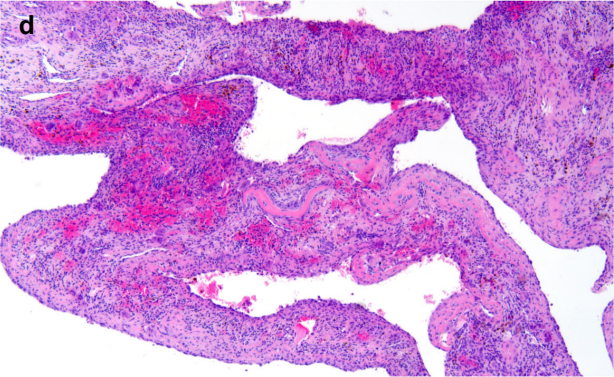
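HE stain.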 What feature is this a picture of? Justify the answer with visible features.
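Empty spaces are bordered by bands of cellular tissue. The bands contain spindle cells and red blood. The answer: cystic spaces separated by fibrous septa.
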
